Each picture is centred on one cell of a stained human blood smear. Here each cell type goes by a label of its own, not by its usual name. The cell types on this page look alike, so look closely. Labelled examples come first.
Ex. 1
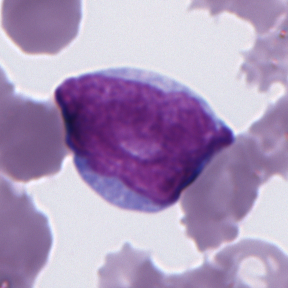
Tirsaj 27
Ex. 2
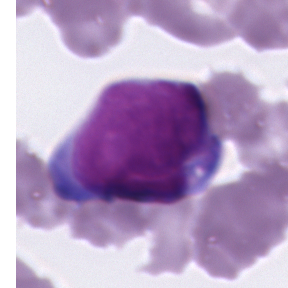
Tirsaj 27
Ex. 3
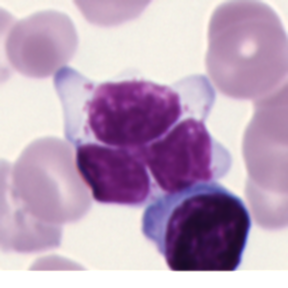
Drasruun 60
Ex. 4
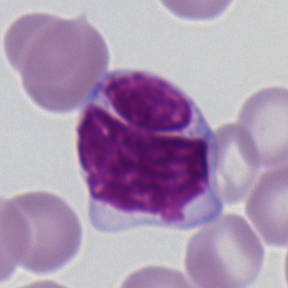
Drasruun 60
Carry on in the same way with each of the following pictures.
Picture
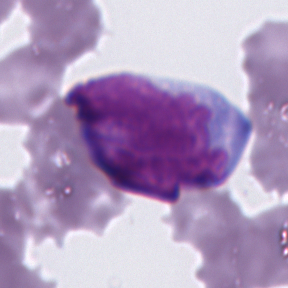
Tirsaj 27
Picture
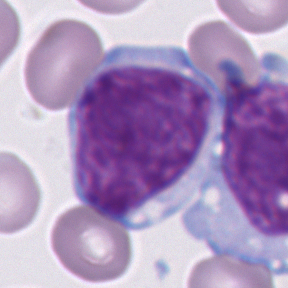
Tirsaj 27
